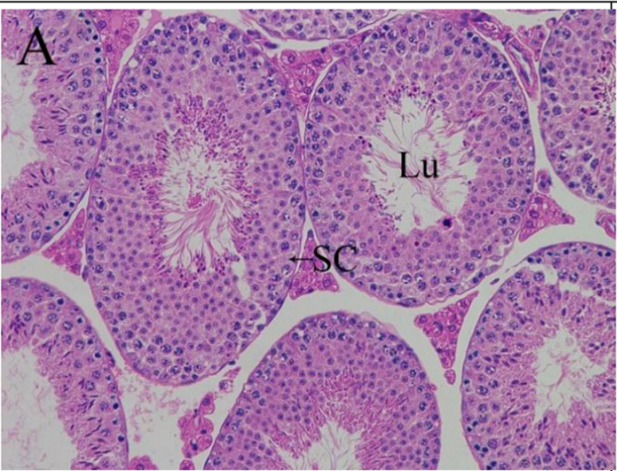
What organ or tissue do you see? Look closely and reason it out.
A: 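Round tubules in cross-section are packed side by side. Each tubule has a thick many-layered epithelium around a central lumen. Pale wisps of tails fill the tubule lumens. Small clusters of pink cells lie in the angles between tubules. That points to this answer: testes.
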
